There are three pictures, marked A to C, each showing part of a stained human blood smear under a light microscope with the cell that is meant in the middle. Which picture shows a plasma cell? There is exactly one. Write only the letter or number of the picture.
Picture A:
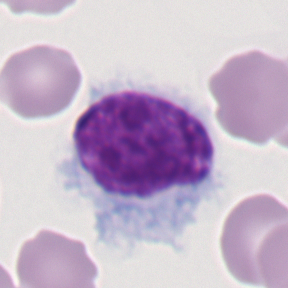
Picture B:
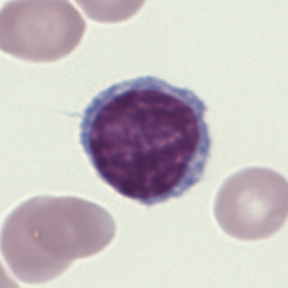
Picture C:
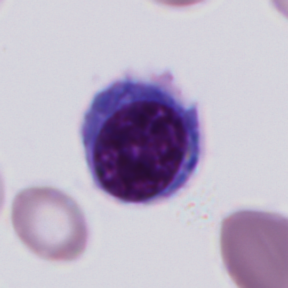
C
